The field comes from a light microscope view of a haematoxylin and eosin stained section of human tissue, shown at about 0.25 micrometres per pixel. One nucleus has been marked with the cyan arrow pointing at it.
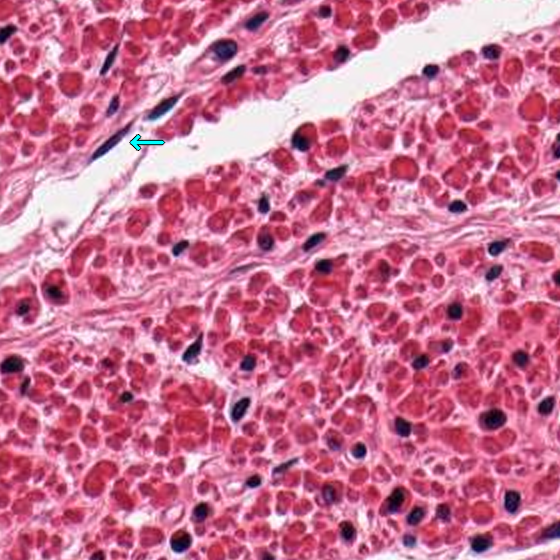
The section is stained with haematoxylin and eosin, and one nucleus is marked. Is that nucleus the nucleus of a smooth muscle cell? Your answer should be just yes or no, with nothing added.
no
